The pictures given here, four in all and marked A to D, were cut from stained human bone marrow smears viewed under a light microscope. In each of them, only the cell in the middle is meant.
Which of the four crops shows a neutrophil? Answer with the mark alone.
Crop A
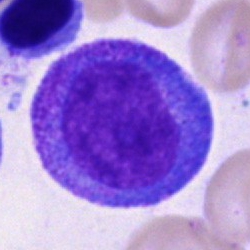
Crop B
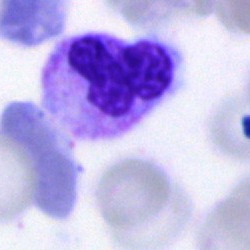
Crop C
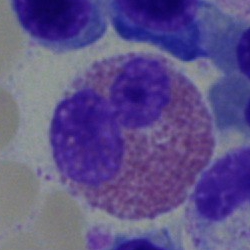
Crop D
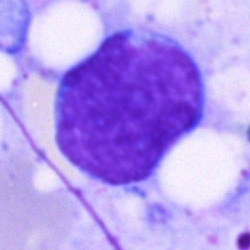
B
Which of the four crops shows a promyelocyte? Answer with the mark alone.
A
